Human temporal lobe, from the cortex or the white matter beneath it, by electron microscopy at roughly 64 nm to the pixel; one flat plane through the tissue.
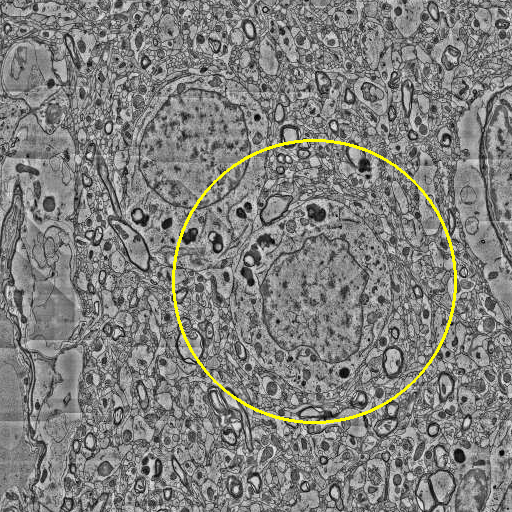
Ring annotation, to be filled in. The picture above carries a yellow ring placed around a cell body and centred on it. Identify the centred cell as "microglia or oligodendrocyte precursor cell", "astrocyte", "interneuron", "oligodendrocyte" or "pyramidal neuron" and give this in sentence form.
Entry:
The cell in the middle of the ring is a pyramidal neuron.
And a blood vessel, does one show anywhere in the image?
Yes.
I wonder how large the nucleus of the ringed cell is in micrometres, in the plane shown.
The ringed cell's nucleus is about 8 micrometres long and 7 micrometres wide in this plane.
